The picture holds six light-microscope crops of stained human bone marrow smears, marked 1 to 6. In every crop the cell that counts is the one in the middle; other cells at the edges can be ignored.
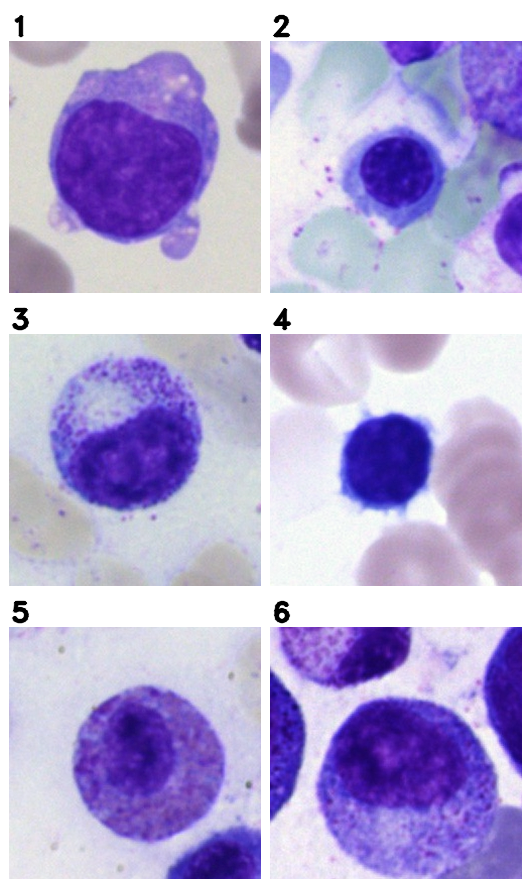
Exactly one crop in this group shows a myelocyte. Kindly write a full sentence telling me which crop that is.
The crop that has a myelocyte in the middle is crop 3.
